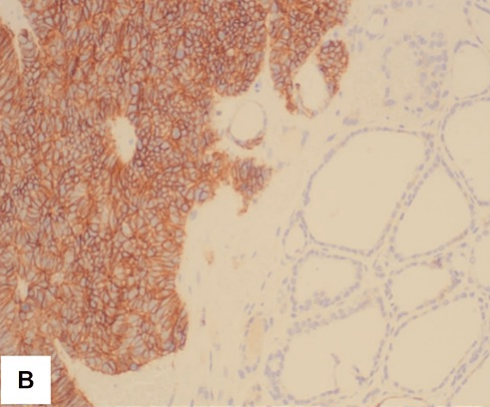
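A solid sheet of tumor cells fills the left part of the field and is sharply set off from the tissue on the right. The tumor cells are small and closely packed, and each is outlined by brown stain at its border, giving a fine honeycomb pattern. A few small round spaces lie within the sheet. On the right lie round follicle-like spaces filled with pale homogeneous material and lined by flat cells, which remain unstained apart from the blue nuclei. Loose pale stroma separates the tumor from these follicles.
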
